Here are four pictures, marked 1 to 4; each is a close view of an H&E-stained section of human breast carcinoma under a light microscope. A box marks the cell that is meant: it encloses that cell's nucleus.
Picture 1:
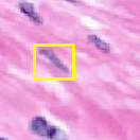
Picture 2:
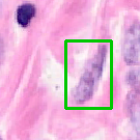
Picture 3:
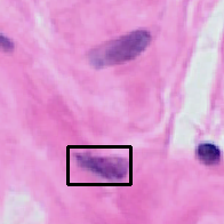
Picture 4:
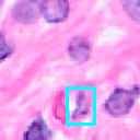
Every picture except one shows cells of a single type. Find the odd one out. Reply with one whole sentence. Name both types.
Picture 4 differs, because its cell is an endothelial cell and the rest are fibroblasts.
